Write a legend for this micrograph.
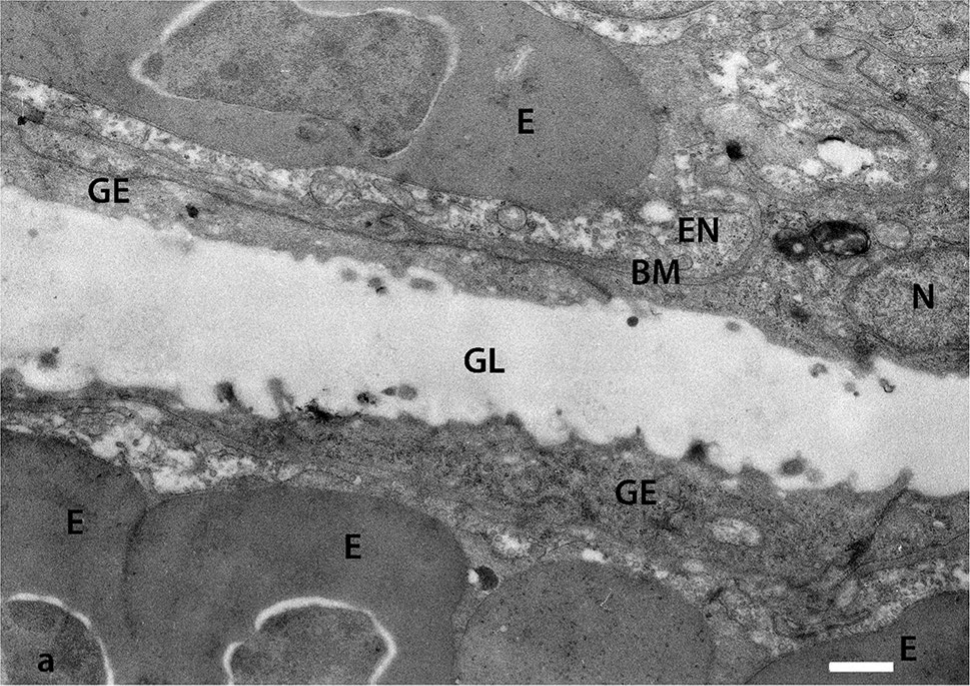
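Between the blood and the lumen only thin cytoplasmic sheets of epithelial cells, a narrow interstitial space with a fine basement membrane, and thin endothelial cytoplasm intervene. The epithelial surface facing the lumen is irregular, with small projections and dark granules. At the upper right an epithelial nucleus lies beside a dark, membrane-rich body.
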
